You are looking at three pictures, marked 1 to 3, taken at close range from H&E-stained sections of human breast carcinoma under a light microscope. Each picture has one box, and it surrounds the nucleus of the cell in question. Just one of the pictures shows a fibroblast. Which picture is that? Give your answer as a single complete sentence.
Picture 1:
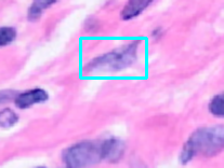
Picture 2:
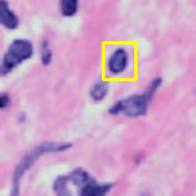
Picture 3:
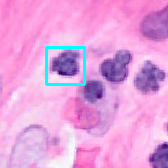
Picture 1 is the one that shows the fibroblast.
